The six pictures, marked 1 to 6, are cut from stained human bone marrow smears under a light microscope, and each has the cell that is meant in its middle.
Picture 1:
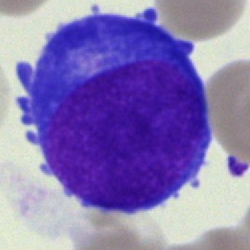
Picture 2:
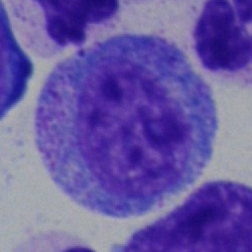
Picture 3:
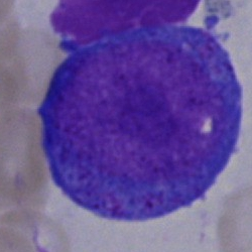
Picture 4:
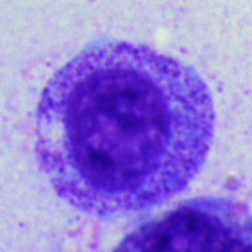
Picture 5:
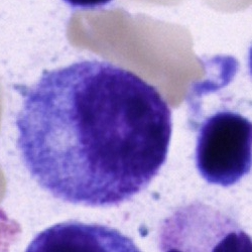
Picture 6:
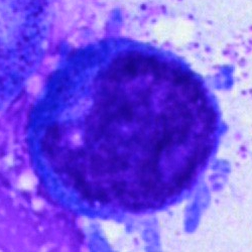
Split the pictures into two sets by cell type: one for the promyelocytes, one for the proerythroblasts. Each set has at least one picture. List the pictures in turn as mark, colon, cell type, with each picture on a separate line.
1: proerythroblast
2: promyelocyte
3: proerythroblast
4: promyelocyte
5: promyelocyte
6: proerythroblast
